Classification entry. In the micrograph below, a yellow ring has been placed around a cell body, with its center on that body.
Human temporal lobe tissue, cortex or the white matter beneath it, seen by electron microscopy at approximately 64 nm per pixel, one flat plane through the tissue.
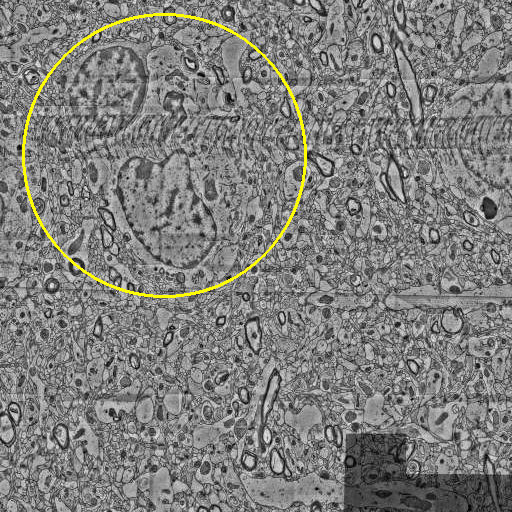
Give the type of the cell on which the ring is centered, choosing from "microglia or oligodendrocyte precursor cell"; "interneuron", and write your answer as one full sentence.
The cell body at the center of the yellow ring belongs to a microglial cell or oligodendrocyte precursor cell.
